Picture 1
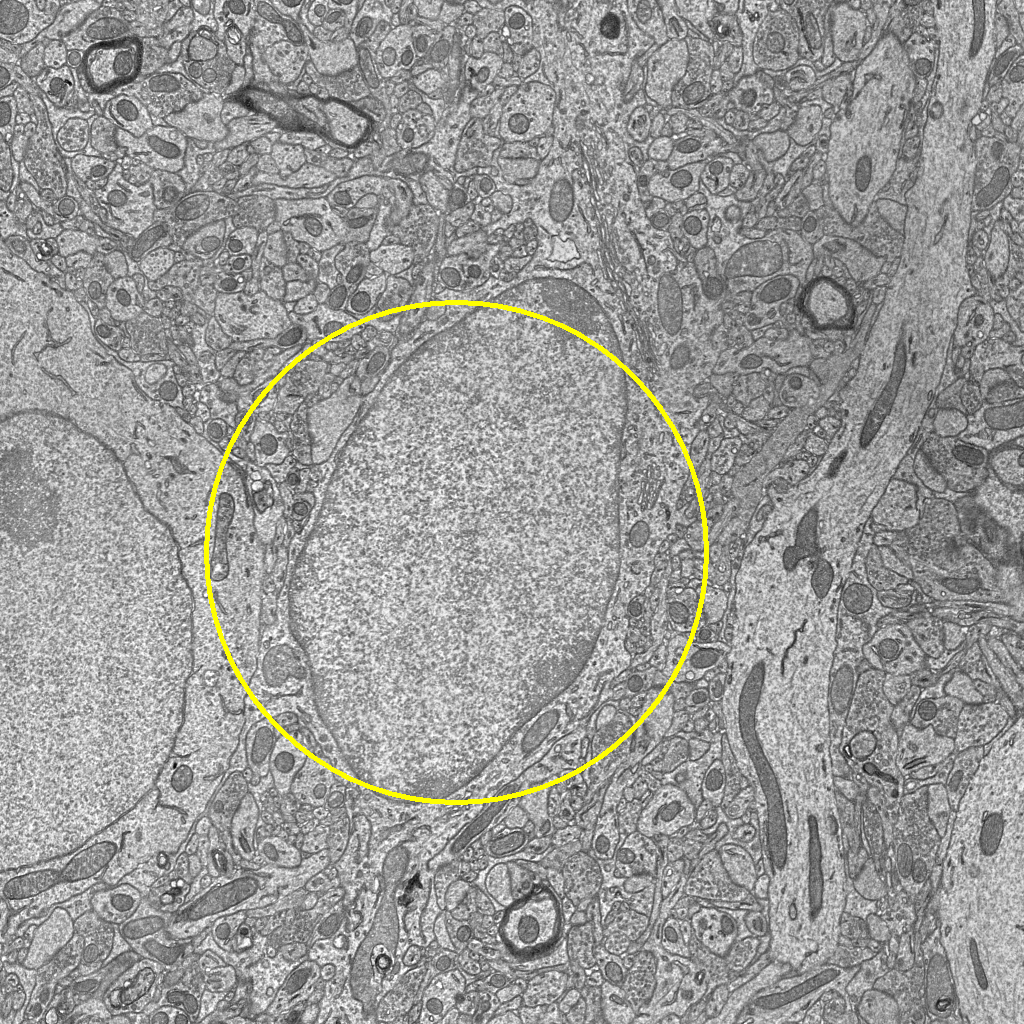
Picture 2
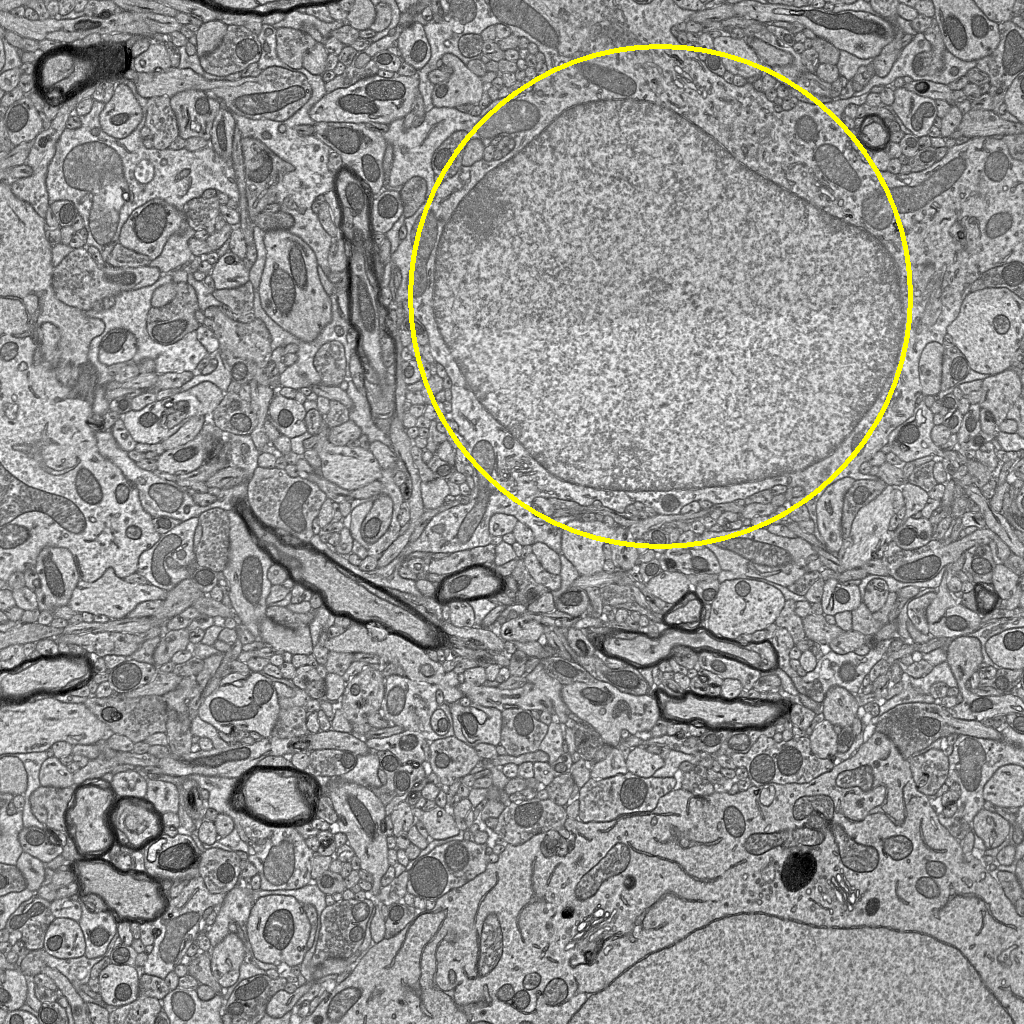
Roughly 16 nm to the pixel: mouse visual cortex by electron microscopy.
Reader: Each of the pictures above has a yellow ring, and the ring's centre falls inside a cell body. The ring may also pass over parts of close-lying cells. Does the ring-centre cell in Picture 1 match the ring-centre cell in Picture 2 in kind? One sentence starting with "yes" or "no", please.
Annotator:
Yes, Picture 1 and Picture 2 show ring-centre cells of a single kind.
